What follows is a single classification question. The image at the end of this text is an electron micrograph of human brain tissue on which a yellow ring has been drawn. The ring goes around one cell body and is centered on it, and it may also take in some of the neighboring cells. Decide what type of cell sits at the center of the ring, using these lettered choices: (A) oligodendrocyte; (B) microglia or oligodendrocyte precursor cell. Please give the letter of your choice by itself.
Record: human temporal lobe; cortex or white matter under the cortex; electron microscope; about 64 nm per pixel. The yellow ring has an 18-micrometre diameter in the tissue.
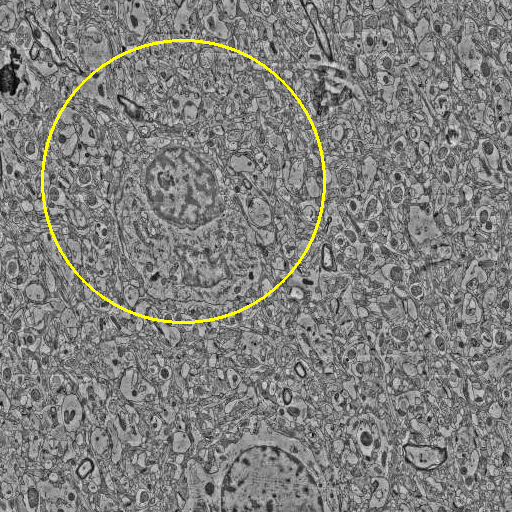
A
